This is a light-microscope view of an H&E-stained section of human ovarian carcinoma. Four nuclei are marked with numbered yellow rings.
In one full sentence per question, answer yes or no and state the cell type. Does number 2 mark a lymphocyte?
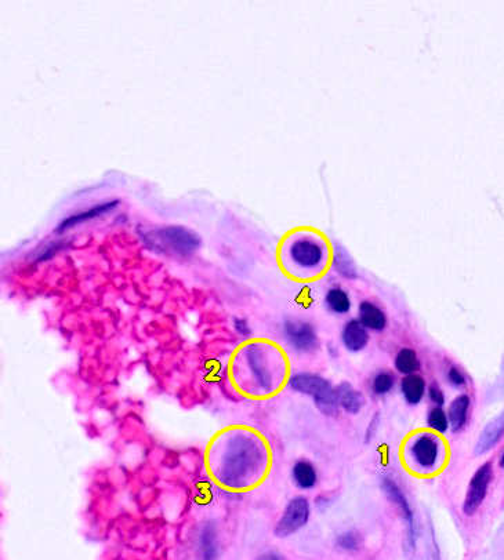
No, as for cell 2, it is an endothelial cell and not a lymphocyte.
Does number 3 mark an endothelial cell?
Yes, an endothelial cell is what the cell numbered 3 is.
